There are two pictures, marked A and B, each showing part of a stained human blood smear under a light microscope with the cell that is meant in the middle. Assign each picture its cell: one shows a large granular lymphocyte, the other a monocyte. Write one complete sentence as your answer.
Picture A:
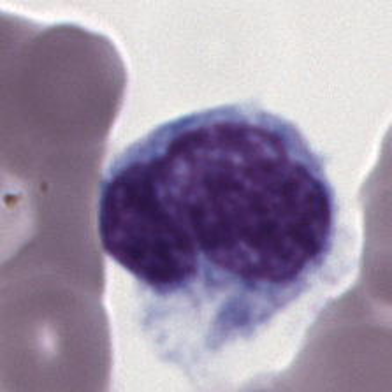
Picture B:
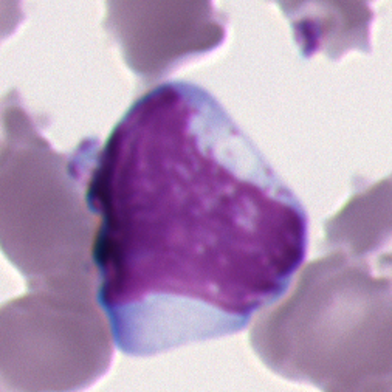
The cell in picture A is a monocyte, and the one in picture B is a large granular lymphocyte.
